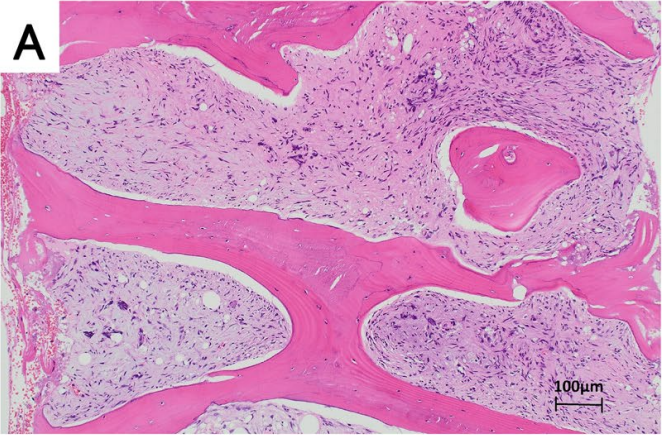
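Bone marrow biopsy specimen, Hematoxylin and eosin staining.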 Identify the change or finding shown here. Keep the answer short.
fibrotic tissue with myxomatous changes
